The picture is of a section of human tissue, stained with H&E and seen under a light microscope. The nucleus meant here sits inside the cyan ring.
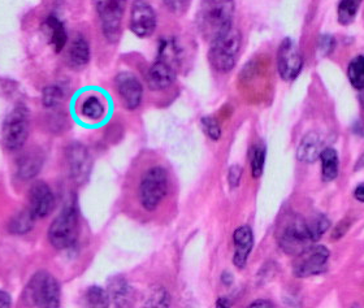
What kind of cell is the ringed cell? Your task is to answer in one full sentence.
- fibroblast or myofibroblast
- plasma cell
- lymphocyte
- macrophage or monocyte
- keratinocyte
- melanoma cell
As to its cell type, the ringed cell is a lymphocyte.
